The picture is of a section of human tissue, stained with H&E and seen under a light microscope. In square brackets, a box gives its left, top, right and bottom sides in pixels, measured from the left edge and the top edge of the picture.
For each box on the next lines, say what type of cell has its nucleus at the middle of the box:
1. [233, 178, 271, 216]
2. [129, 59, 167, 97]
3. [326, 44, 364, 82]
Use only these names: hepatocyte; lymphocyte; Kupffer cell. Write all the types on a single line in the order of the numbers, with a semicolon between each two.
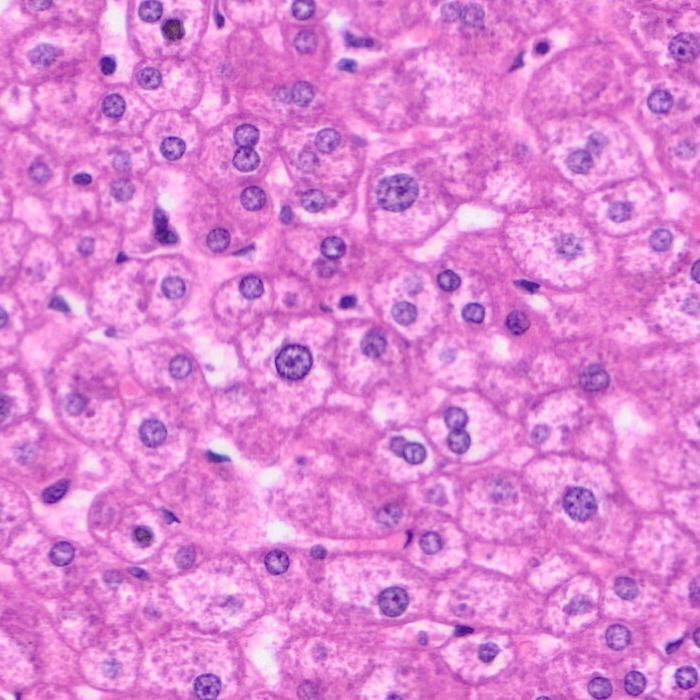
hepatocyte; hepatocyte; lymphocyte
